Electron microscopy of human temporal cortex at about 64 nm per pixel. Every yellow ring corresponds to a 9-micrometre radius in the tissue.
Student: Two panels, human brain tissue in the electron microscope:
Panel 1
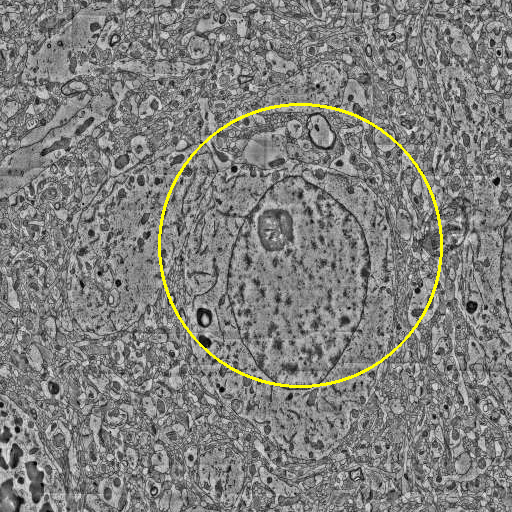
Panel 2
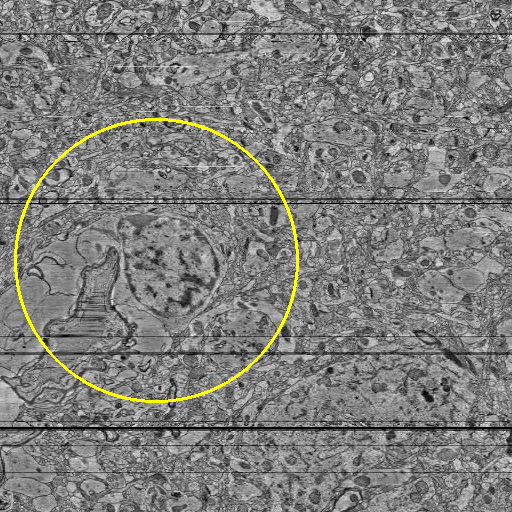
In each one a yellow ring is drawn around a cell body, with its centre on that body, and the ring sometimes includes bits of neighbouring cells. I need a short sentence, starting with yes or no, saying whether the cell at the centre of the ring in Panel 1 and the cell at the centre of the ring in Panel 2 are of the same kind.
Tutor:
No, they are two kinds of cell.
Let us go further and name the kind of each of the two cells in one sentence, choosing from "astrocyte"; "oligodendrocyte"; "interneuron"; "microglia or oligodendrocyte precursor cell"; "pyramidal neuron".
The ring of the first picture is on a pyramidal neuron, the ring of the second on a microglial cell or oligodendrocyte precursor cell.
